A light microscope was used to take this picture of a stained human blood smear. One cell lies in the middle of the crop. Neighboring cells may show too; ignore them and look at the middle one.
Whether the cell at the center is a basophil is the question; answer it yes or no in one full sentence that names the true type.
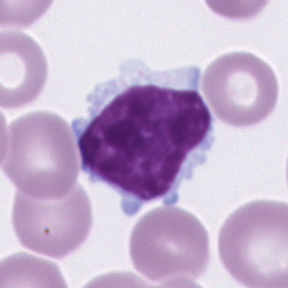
No, the centre cell counts as a lymphocyte, not as a basophil.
